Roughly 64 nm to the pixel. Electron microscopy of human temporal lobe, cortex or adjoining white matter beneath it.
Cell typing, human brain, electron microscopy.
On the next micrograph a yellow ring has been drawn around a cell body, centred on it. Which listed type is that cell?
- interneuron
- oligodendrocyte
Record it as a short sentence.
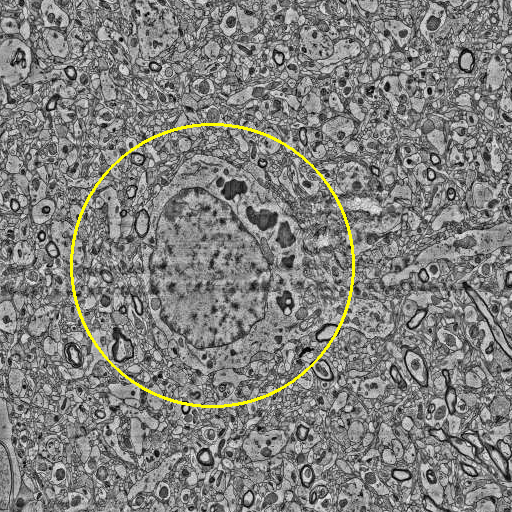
The cell body in the ring's centre belongs to an interneuron.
